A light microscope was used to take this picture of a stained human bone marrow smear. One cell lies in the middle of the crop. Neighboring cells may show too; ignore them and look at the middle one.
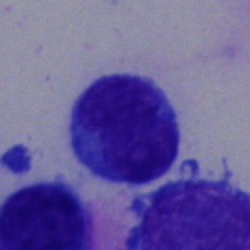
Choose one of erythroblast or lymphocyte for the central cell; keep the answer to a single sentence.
Centred in the crop is a lymphocyte.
